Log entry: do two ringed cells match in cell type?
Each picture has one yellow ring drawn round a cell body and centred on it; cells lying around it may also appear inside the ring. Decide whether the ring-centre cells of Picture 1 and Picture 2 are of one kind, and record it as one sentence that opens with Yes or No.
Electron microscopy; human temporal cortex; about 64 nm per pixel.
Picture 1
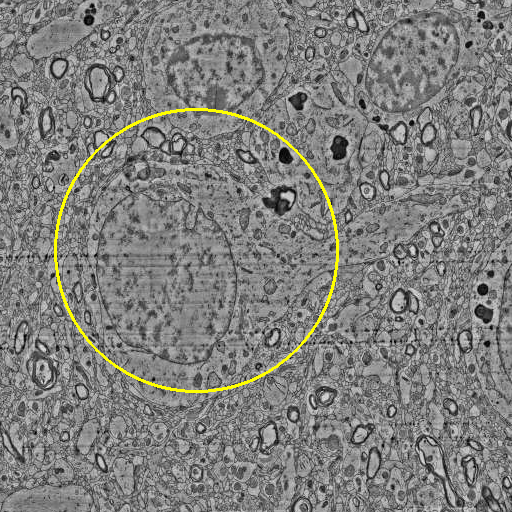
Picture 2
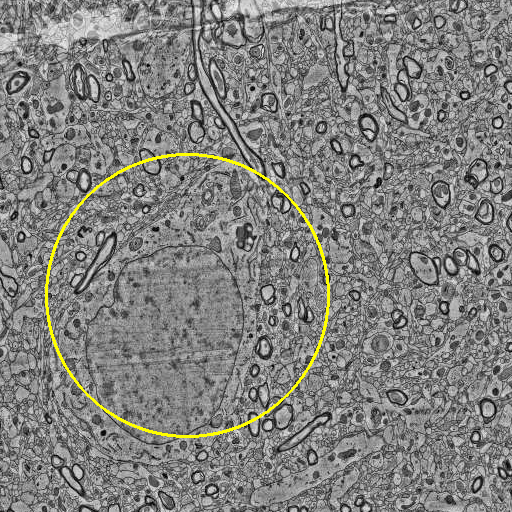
Yes, the cells at the ring centres of the two pictures belong to one kind.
